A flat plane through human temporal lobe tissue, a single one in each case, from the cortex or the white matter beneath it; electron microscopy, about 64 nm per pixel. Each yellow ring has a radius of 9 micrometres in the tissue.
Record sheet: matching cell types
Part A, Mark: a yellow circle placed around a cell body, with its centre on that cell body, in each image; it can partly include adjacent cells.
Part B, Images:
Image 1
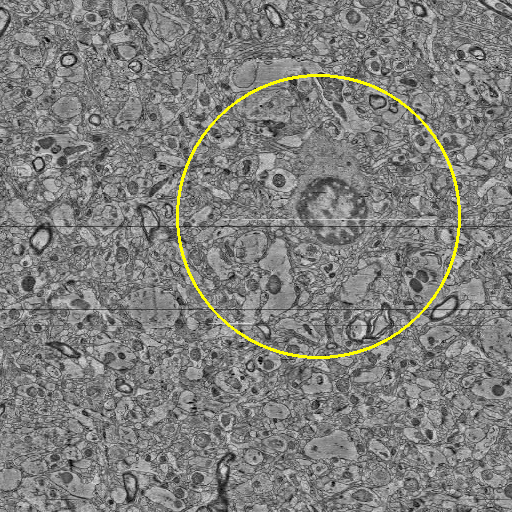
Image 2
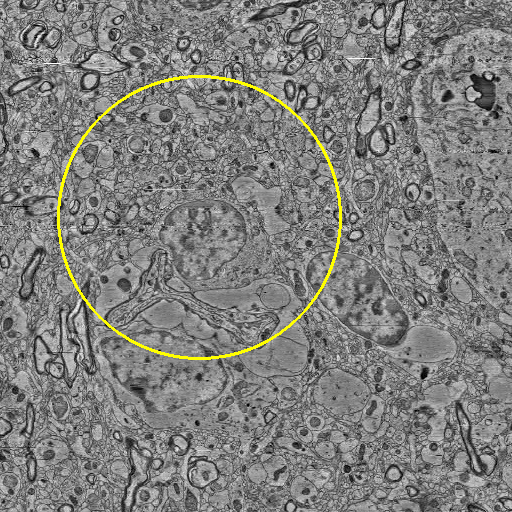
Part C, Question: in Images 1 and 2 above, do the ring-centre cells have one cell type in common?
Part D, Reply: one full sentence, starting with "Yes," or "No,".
Yes, the ring-centre cells of Image 1 and Image 2 are both of a single cell type.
